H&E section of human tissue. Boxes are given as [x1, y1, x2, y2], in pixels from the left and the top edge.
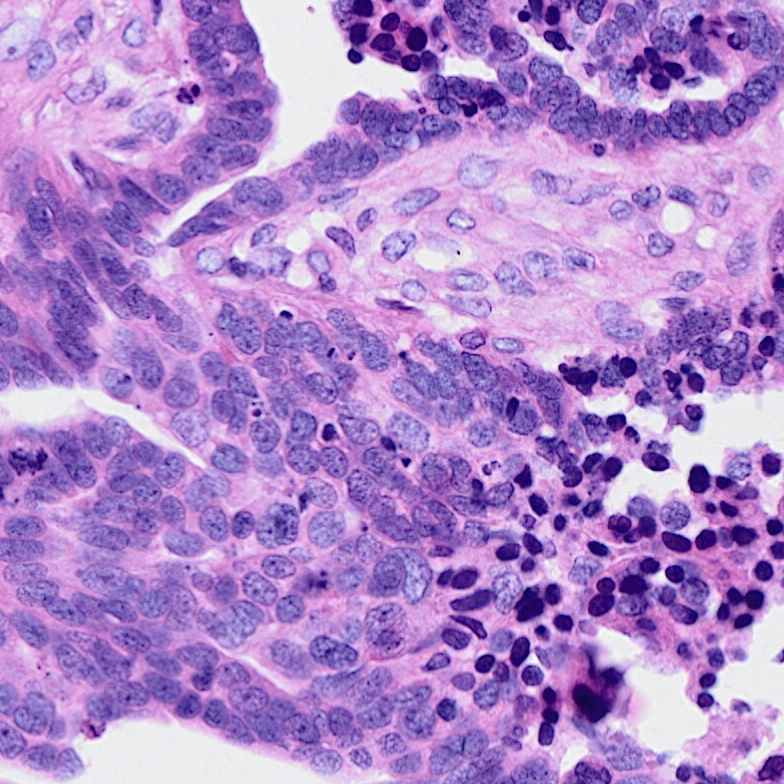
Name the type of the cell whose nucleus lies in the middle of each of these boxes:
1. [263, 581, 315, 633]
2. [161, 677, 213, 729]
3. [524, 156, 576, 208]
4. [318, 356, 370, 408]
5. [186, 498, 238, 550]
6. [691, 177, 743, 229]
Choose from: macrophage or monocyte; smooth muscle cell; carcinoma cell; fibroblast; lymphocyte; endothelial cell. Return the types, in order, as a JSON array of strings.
["carcinoma cell", "carcinoma cell", "fibroblast", "carcinoma cell", "carcinoma cell", "fibroblast"]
